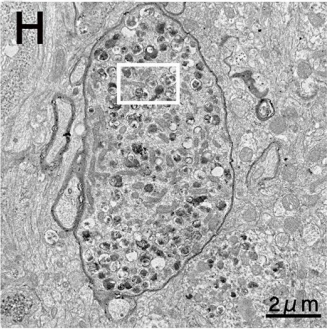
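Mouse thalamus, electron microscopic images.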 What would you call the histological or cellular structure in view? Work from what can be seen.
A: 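A large oval profile bounded by a thin dark sheath. The profile is packed with many small round vesicular bodies. Neighbouring profiles are much smaller. The answer: spheroid-like axon.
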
